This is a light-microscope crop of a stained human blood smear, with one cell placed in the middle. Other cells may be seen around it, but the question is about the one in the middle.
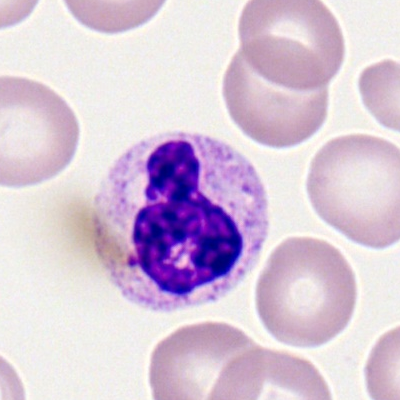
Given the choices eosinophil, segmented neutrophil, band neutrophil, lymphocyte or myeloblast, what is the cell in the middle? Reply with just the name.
segmented neutrophil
